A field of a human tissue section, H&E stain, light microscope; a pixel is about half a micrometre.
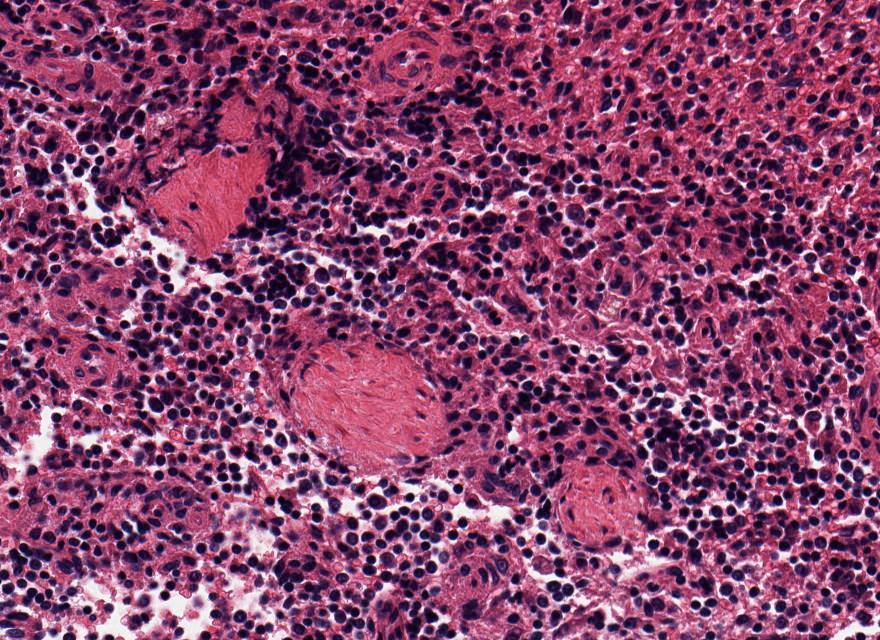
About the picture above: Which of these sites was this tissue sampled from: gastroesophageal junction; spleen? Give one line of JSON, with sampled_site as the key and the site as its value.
{"sampled_site": "spleen"}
